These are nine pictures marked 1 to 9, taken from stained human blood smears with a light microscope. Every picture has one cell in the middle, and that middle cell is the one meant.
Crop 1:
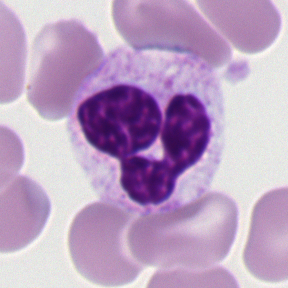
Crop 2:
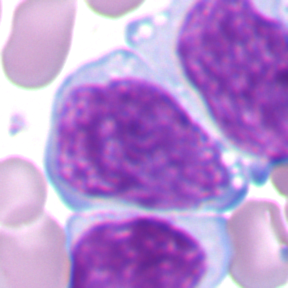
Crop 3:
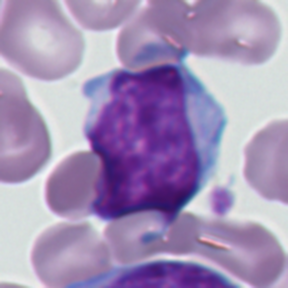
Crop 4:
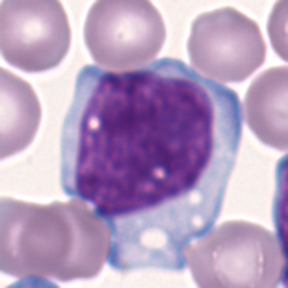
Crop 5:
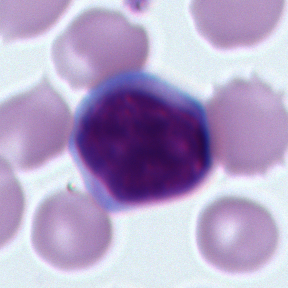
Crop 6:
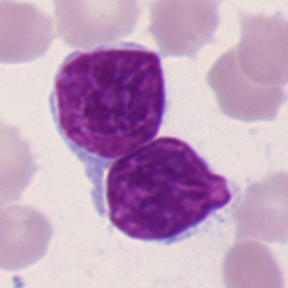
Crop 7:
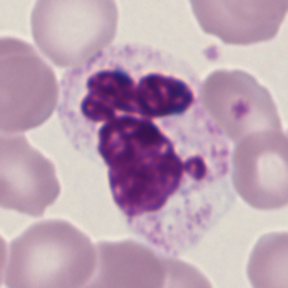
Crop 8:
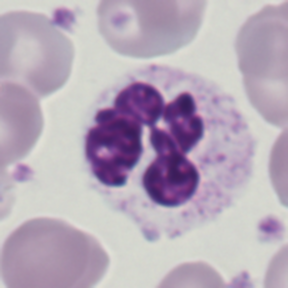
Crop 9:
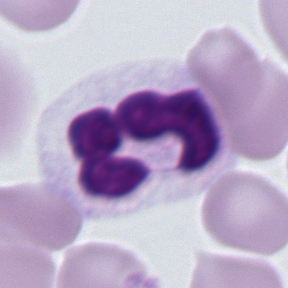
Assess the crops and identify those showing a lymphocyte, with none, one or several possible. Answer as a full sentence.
The crop that shows a lymphocyte is crop 5, and it is the only one.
